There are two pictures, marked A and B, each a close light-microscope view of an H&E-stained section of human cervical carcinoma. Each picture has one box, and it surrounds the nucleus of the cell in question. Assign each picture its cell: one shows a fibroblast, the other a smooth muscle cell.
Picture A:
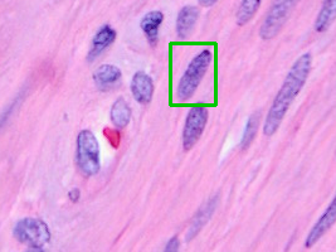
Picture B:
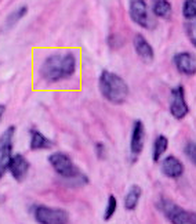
A: fibroblast
B: smooth muscle cell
